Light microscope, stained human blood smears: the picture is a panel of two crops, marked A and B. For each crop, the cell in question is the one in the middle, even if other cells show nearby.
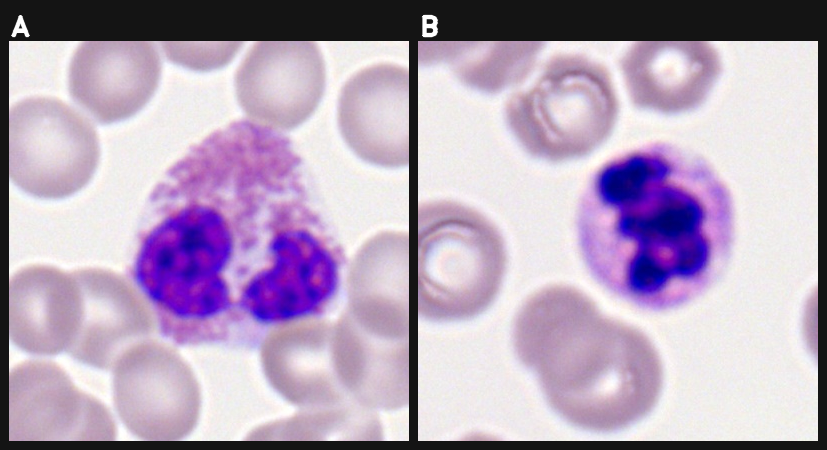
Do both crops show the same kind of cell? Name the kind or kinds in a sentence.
No, an eosinophil is in crop A, and a segmented neutrophil is in crop B.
